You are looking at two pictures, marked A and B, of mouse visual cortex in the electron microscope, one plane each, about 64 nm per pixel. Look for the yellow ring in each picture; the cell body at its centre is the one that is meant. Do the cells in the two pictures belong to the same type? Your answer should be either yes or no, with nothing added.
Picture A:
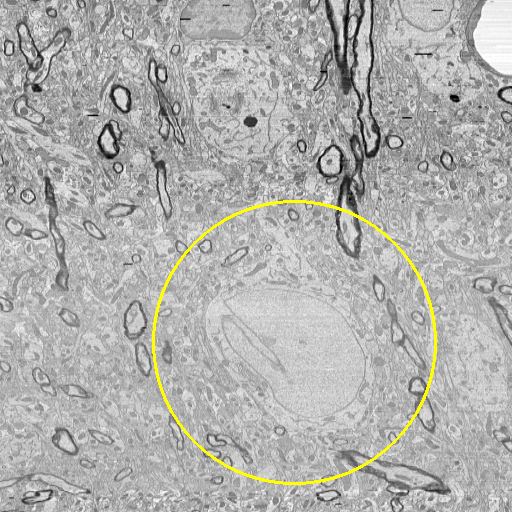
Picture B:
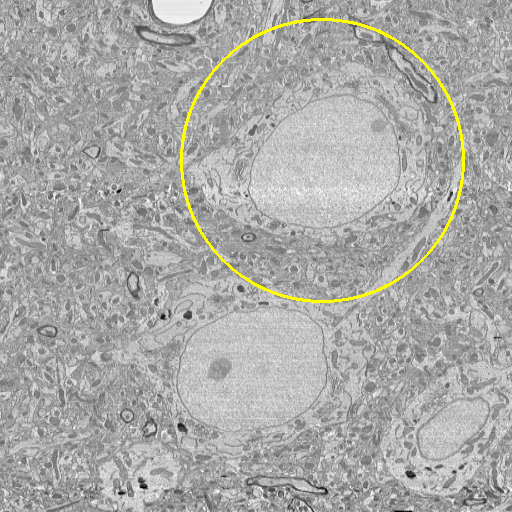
yes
